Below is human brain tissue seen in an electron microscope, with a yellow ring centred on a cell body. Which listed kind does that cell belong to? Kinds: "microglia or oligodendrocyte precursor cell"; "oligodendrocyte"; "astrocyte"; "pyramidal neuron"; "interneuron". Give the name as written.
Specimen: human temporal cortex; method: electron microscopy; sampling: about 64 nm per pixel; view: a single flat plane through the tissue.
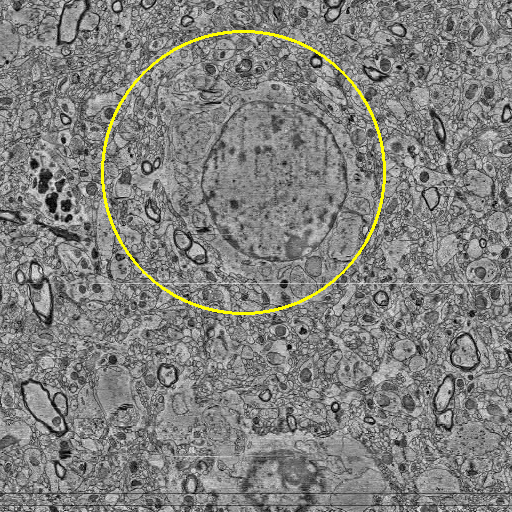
astrocyte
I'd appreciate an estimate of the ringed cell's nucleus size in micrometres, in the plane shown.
The nucleus has a long axis of about 11 micrometres and a short axis of about 9 micrometres in this plane.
